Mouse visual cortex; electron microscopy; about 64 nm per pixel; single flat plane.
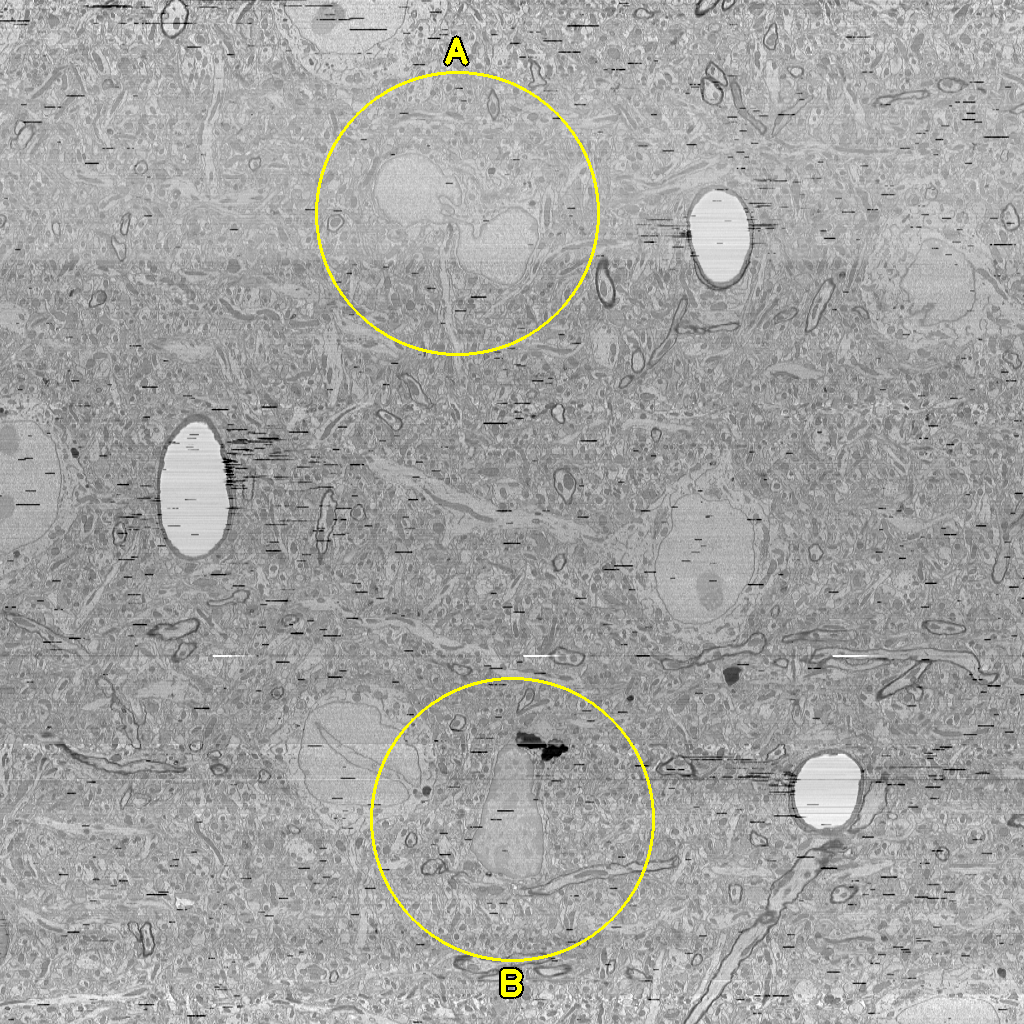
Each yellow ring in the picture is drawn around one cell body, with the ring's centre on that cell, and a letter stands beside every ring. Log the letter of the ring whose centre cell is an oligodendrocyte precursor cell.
A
